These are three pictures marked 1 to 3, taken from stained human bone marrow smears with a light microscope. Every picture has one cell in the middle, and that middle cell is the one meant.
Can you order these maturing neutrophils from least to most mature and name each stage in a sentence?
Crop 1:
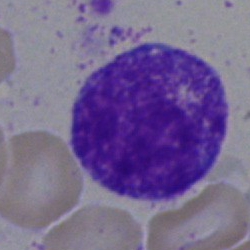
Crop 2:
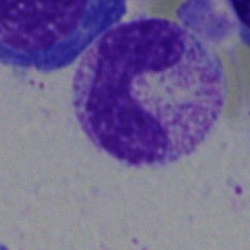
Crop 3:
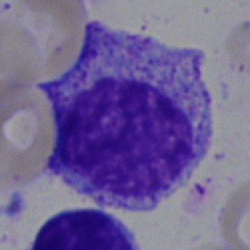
Arranged by increasing maturity, the crops are crop 3 (a myelocyte), crop 1 (a metamyelocyte) and crop 2 (a band neutrophil).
